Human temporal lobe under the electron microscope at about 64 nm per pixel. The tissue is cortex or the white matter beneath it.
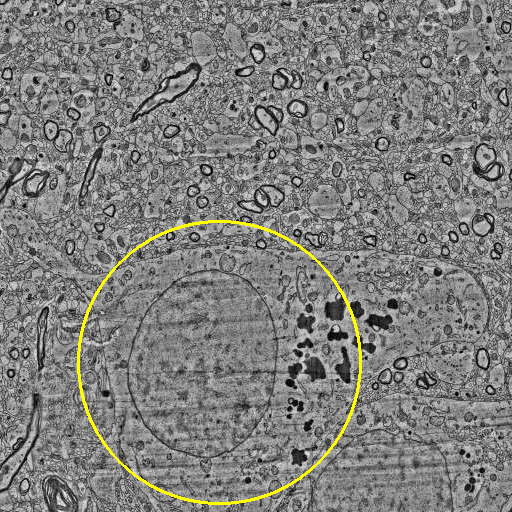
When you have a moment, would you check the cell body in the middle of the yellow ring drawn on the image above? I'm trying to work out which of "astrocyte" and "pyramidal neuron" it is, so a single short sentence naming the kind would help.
This cell body belongs to a pyramidal neuron.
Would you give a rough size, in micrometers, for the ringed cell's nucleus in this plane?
In this plane the nucleus measures roughly 12 by 10 micrometers.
